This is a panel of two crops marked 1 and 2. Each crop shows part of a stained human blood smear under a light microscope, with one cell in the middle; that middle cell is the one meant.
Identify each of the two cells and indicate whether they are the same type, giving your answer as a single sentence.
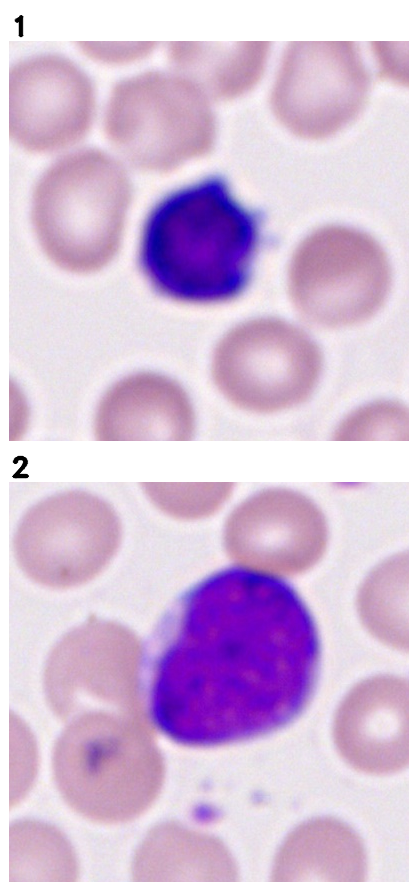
No, in crop 2 the central cell is a blast, and in crop 1 it is a lymphocyte.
